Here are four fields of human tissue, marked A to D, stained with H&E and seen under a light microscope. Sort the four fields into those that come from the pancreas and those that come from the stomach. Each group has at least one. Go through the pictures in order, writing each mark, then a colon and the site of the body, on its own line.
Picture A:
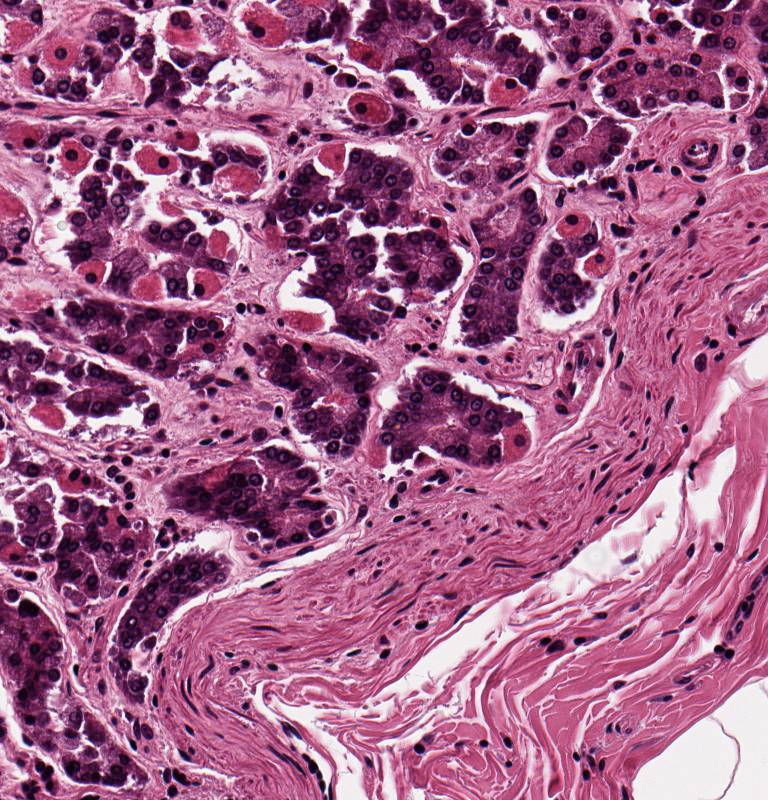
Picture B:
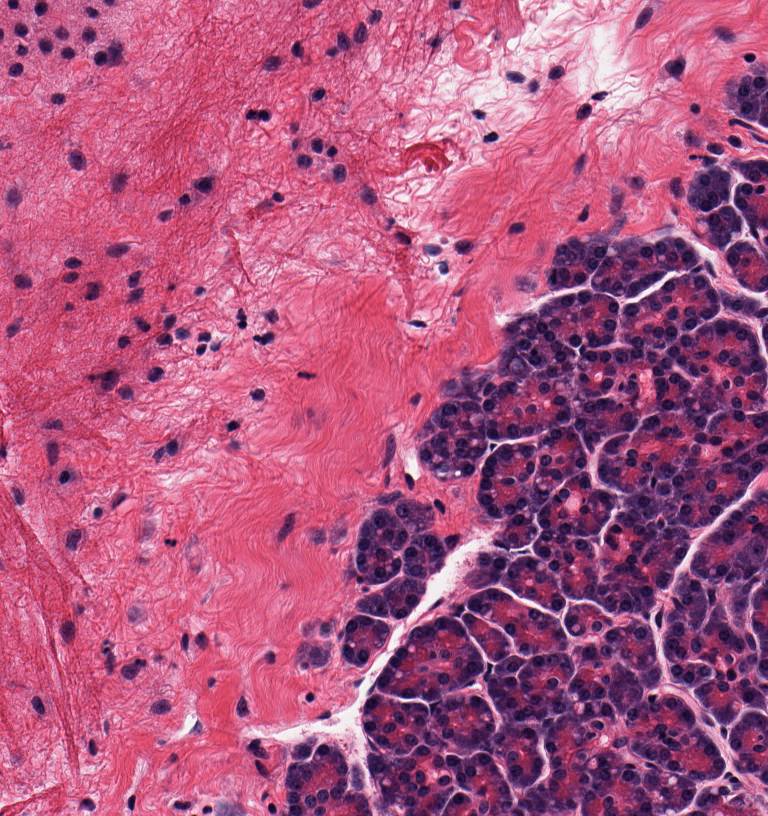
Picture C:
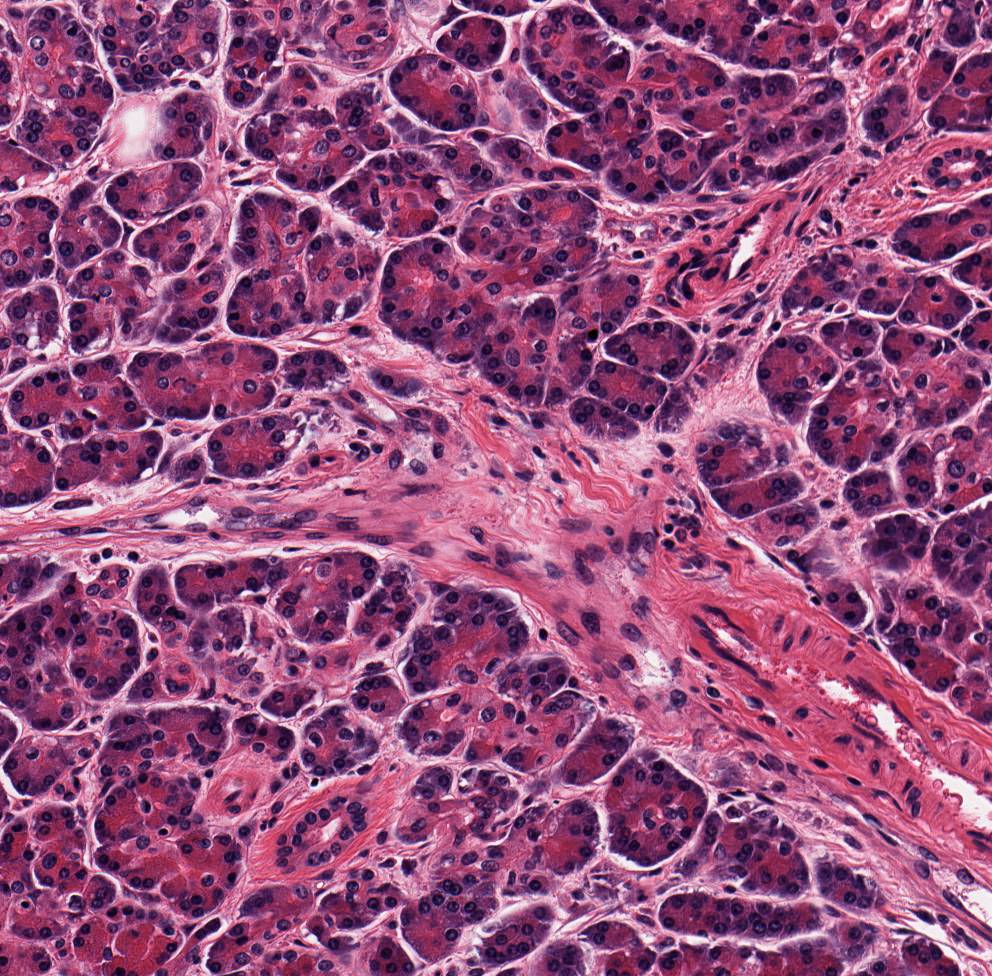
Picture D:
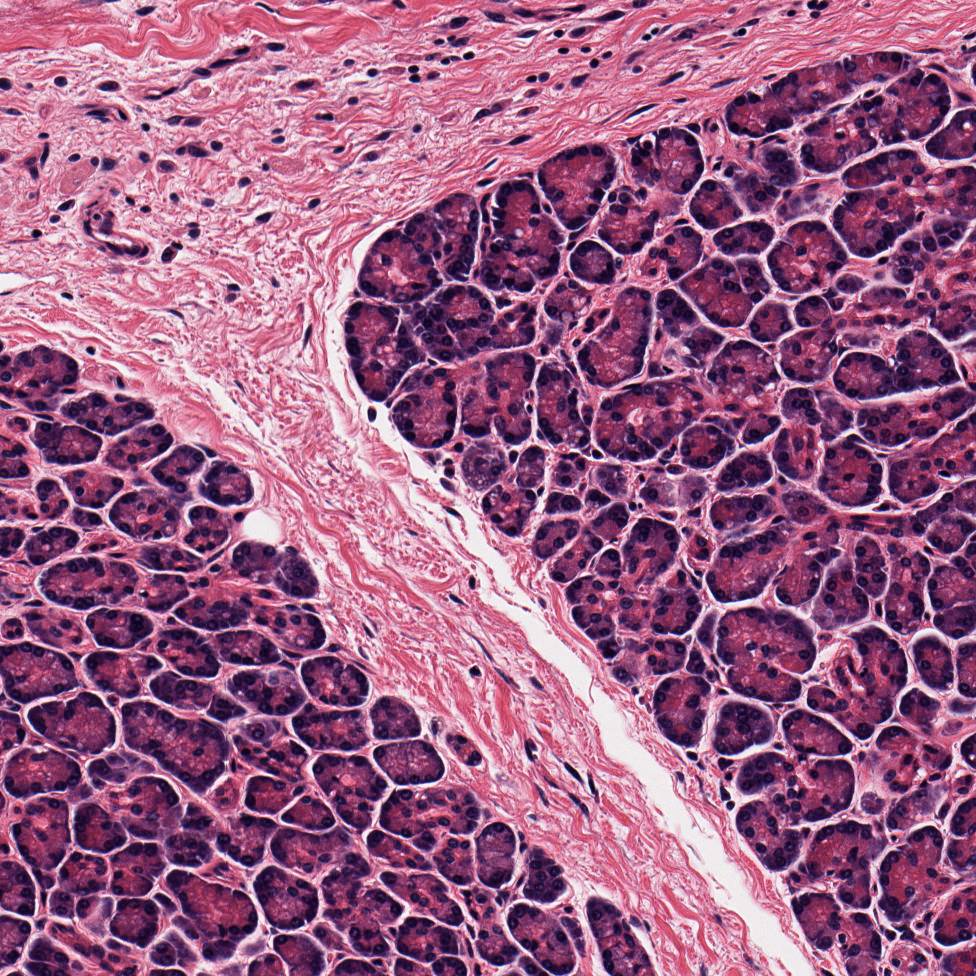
A: stomach
B: pancreas
C: pancreas
D: pancreas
